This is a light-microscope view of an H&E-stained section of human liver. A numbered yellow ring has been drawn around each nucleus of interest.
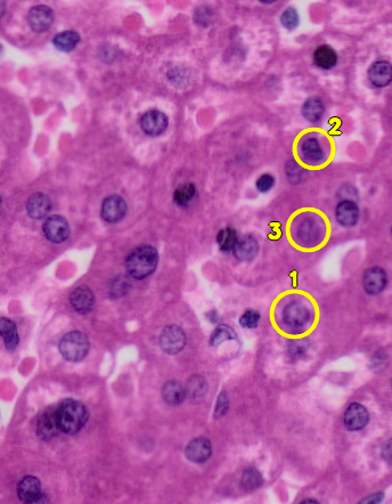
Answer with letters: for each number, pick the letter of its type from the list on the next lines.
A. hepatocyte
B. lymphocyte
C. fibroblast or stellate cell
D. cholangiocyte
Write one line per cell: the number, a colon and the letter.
1: A
2: C
3: A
